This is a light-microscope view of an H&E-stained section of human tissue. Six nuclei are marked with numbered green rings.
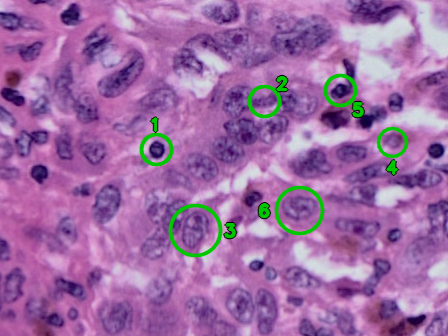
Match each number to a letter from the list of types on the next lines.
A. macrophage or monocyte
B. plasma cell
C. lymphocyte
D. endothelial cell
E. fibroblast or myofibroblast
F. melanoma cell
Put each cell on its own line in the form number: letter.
1: C
2: F
3: F
4: A
5: C
6: F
